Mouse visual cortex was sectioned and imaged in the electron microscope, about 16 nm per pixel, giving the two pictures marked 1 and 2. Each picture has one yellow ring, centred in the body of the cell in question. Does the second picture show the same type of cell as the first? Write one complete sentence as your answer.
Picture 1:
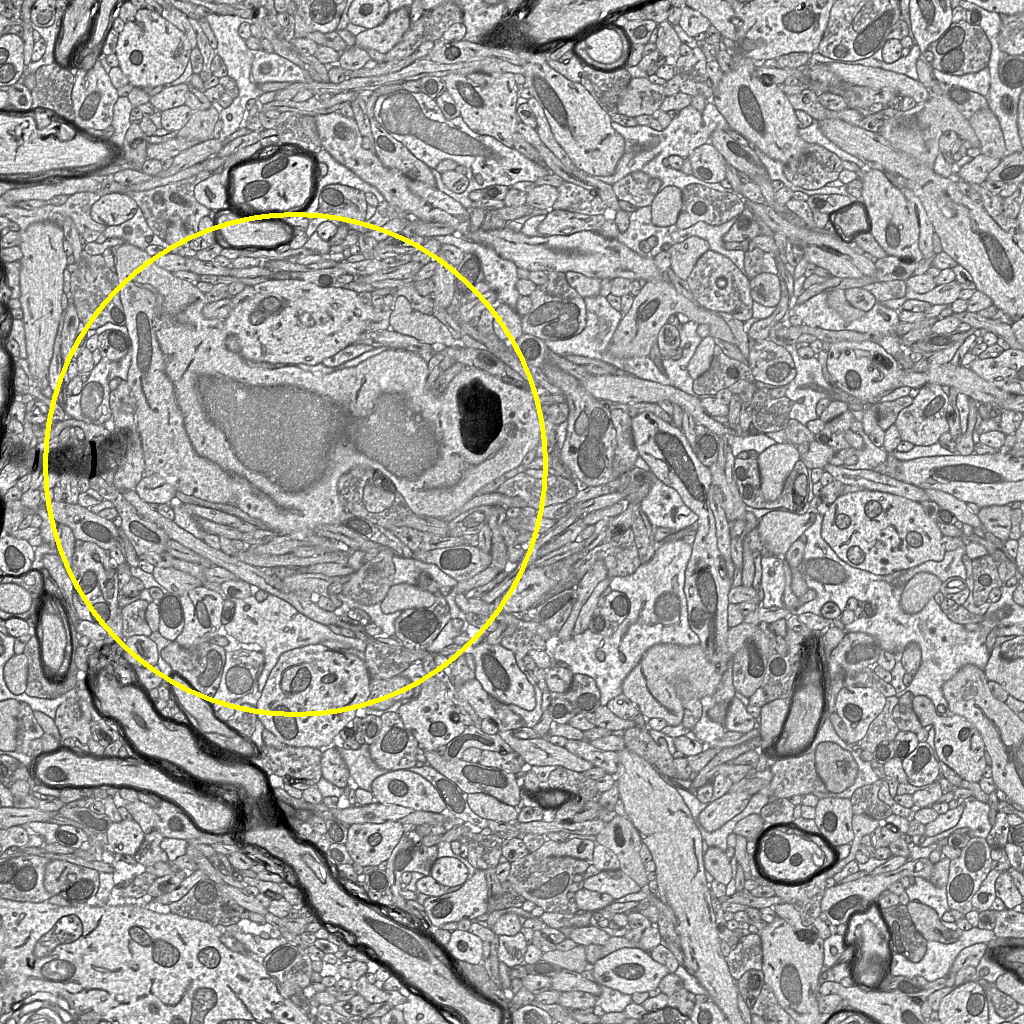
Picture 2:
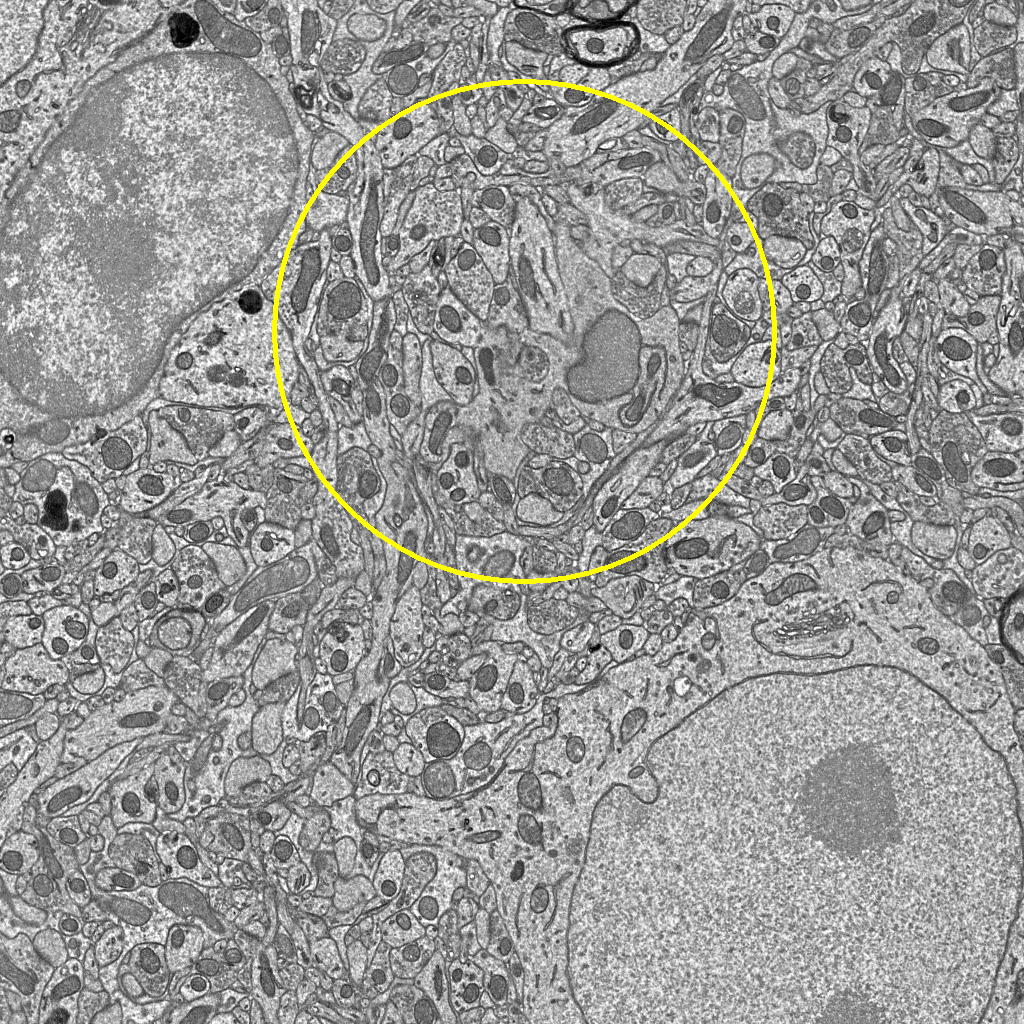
Yes, the two pictures both show microglial cells.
